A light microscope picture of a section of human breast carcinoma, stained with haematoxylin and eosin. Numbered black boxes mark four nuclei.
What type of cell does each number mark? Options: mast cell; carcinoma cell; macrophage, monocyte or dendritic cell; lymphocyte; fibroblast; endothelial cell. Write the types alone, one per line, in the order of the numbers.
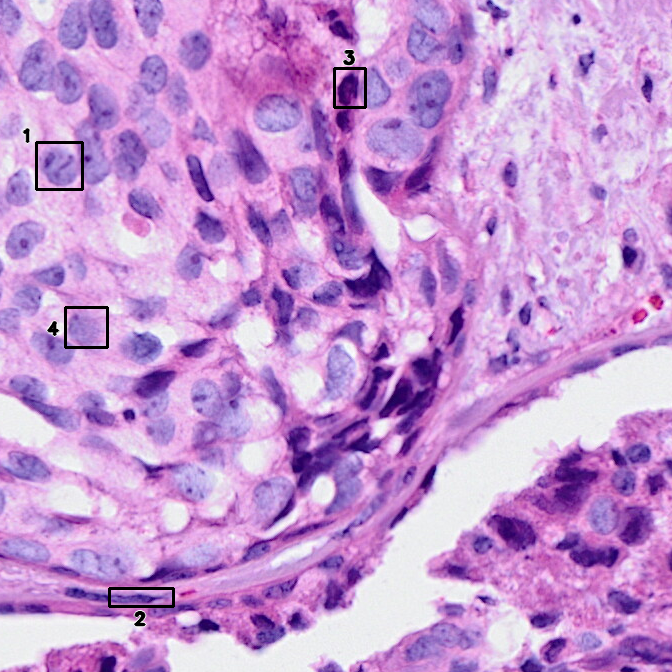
carcinoma cell
endothelial cell
carcinoma cell
carcinoma cell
